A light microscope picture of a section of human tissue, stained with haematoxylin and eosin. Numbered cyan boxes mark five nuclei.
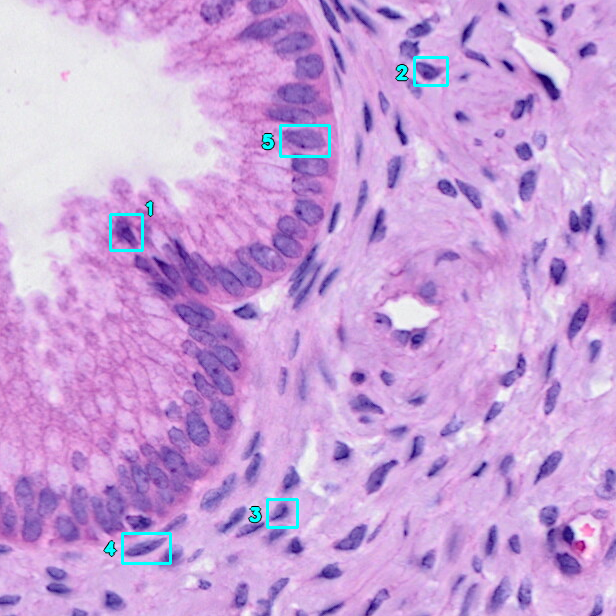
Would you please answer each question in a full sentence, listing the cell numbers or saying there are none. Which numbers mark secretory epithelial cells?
The cells that bear the numbers 1 and 5 are secretory epithelial cells.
